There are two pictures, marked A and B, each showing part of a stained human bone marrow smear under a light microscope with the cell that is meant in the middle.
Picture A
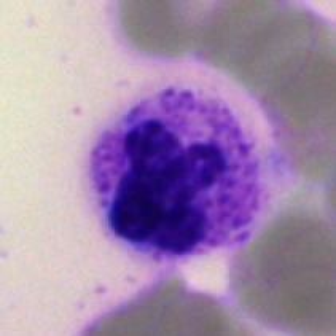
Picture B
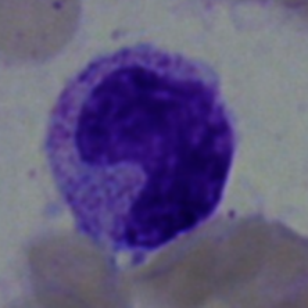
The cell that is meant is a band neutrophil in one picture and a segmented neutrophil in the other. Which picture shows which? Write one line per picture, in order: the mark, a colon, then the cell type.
A: segmented neutrophil
B: band neutrophil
